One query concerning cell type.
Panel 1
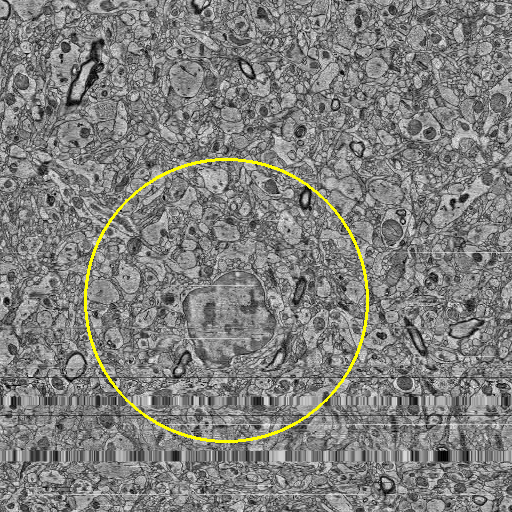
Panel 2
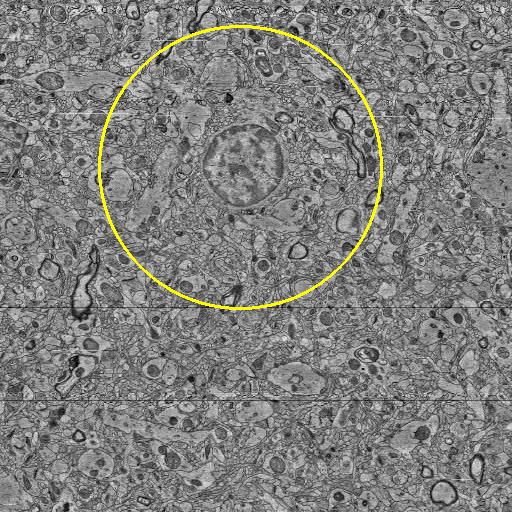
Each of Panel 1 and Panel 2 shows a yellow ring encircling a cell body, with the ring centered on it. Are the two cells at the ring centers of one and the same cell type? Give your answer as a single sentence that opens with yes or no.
No, the cell centered in Panel 1 and the one in Panel 2 are of two types.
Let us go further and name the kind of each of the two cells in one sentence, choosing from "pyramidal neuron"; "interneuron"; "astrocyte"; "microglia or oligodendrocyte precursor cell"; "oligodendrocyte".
The ring of the first picture is on a microglial cell or oligodendrocyte precursor cell, the ring of the second on an oligodendrocyte.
